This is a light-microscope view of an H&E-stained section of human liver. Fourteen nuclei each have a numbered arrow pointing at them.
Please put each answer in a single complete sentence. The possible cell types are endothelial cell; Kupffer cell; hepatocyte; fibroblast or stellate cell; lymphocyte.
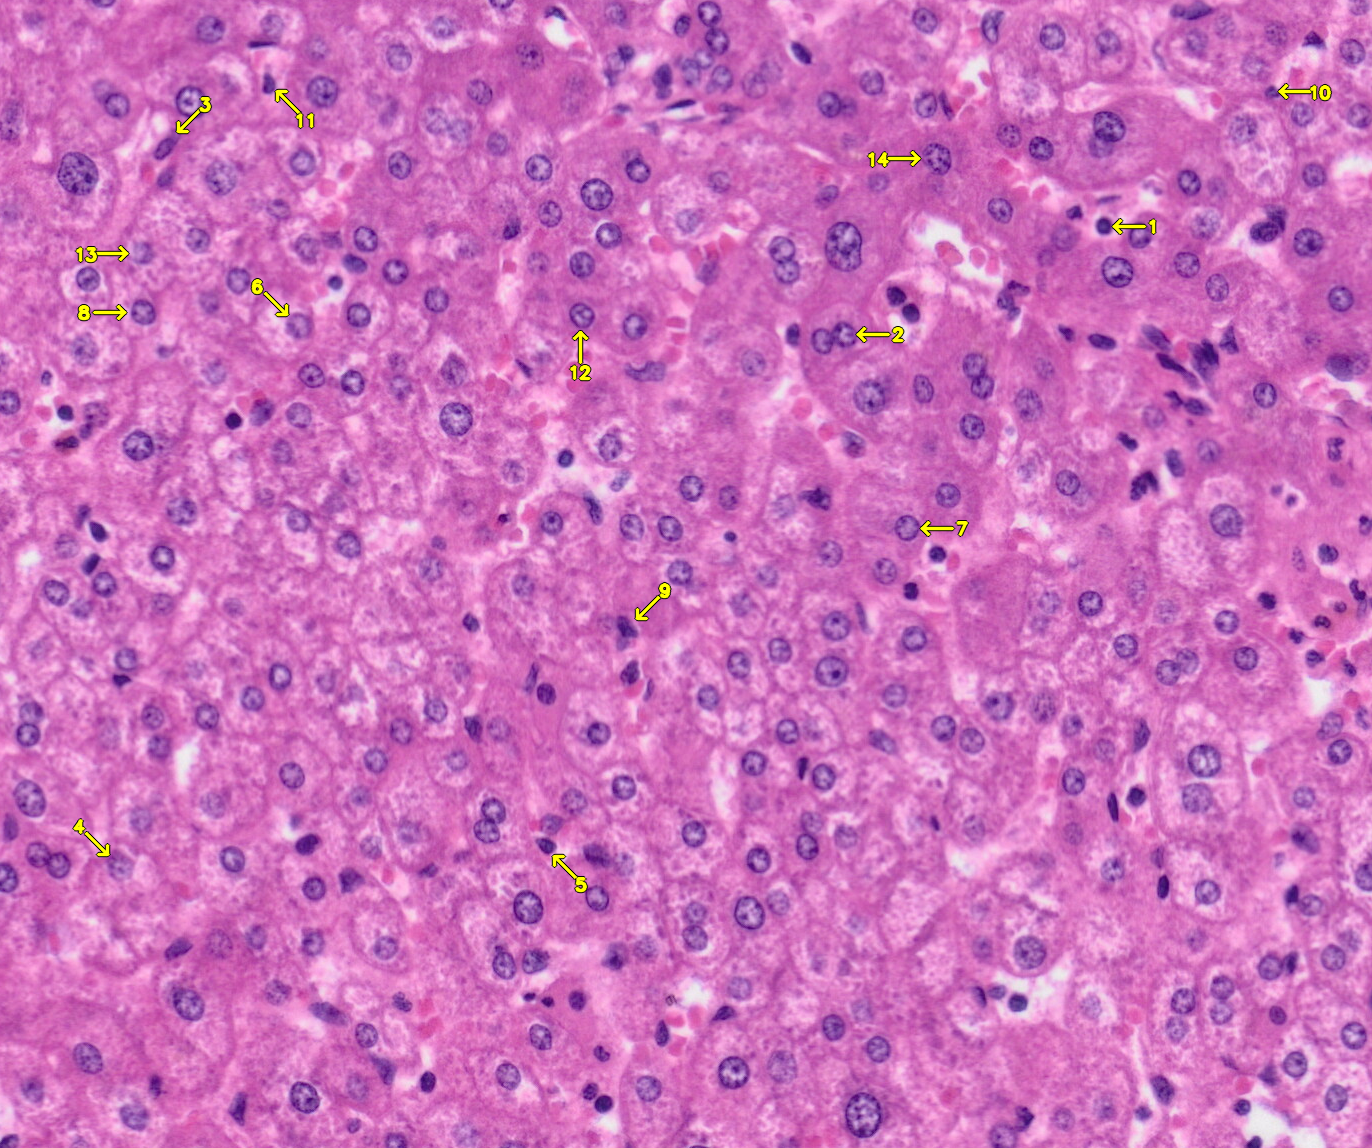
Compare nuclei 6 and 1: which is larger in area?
The larger nucleus is 6, at roughly 1.5 times the area of 1.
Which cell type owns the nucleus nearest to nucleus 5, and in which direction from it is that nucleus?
It is a Kupffer cell, whose nucleus lies above nucleus 5.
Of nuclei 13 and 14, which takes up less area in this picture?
With nucleus 14 about 1.5 times its size, nucleus 13 is the smaller of the two.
